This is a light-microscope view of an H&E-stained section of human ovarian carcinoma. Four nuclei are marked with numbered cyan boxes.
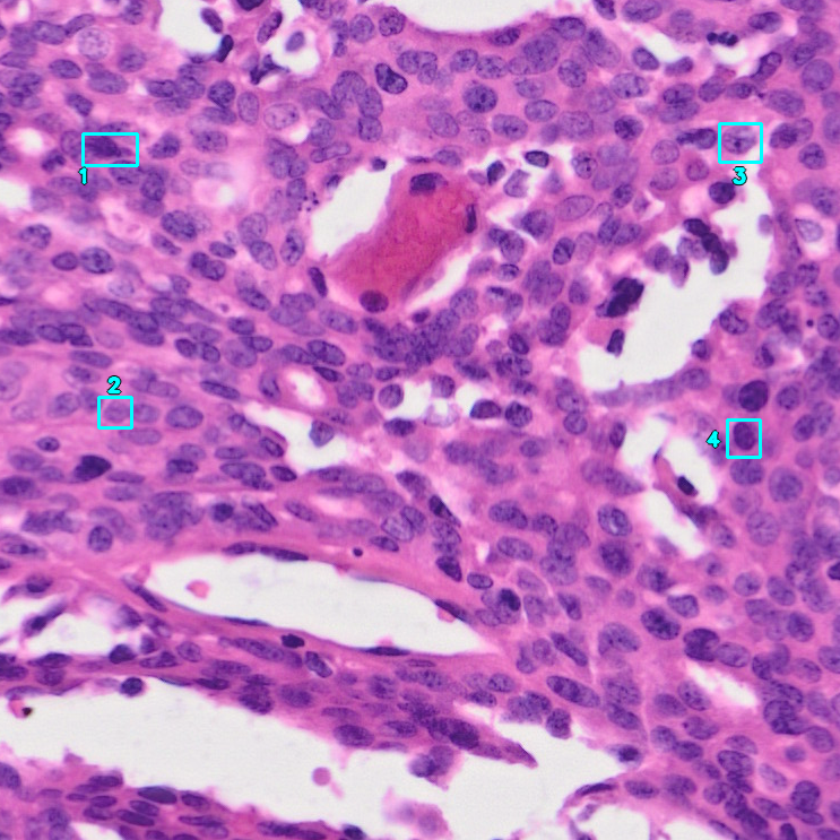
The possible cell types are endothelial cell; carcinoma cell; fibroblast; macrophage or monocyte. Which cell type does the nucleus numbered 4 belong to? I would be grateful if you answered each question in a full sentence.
The numbered cell 4 is identified here as a carcinoma cell.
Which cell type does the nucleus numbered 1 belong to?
In this section, the cell numbered 1 is a carcinoma cell.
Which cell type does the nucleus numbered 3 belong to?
Nucleus 3 in this section belongs to a macrophage or monocyte.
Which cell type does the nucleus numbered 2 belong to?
The cell that bears the number 2 is a carcinoma cell.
